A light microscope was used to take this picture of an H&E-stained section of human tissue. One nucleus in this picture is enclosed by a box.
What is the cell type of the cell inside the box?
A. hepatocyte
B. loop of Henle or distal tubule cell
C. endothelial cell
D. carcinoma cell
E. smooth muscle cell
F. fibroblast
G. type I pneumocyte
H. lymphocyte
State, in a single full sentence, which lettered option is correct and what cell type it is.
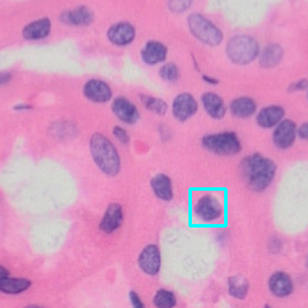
Option B stands as correct, with the cell inside the box being a loop of Henle or distal tubule cell.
